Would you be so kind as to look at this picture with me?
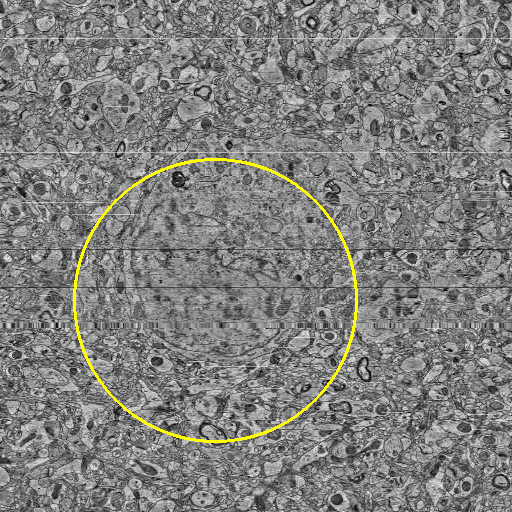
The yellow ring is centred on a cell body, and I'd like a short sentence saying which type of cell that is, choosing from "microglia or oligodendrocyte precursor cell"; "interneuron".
The cell body in the ring belongs to an interneuron.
